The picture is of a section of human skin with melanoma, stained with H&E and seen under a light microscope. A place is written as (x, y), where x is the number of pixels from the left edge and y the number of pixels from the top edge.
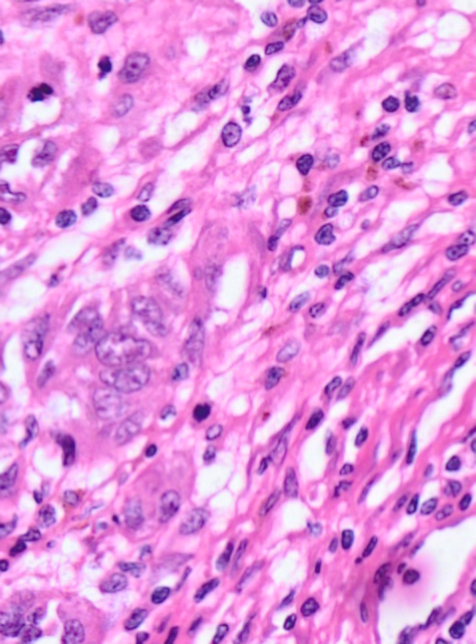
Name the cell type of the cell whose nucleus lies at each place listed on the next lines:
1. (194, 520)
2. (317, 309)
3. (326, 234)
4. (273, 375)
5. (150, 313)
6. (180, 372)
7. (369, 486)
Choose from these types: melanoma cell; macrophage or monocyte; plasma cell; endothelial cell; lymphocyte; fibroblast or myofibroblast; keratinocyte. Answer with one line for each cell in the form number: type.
1: melanoma cell
2: plasma cell
3: lymphocyte
4: lymphocyte
5: melanoma cell
6: lymphocyte
7: fibroblast or myofibroblast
